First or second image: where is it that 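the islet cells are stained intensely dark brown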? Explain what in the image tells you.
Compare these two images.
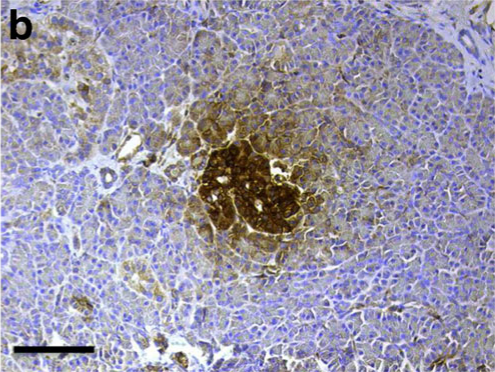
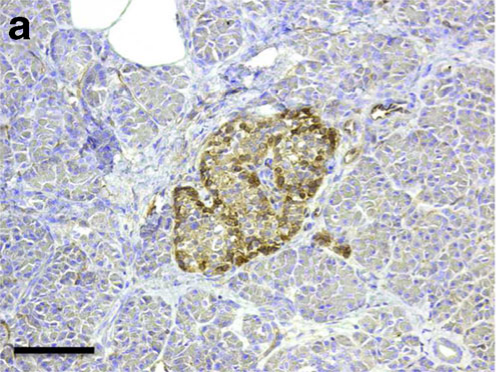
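The first image. First image: the central islet is a dense, solid dark brown. Second image: the islet is a lighter, mottled brown with paler areas between cells.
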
